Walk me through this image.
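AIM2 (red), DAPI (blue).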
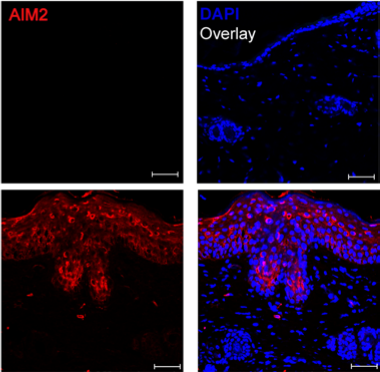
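In the upper row the epidermis is a thin line of blue nuclei with almost no red. In the lower row the epidermis is many cell layers thick and pushes down into the dermis in bulbous projections. Red fills the keratinocytes in the cytoplasm around densely packed blue nuclei.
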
